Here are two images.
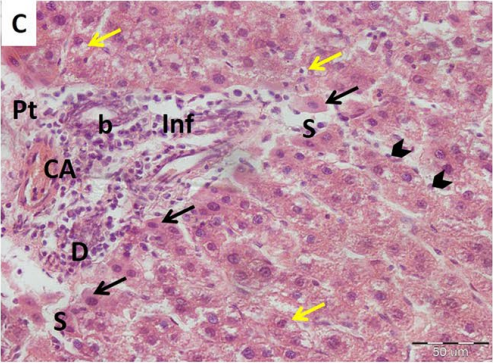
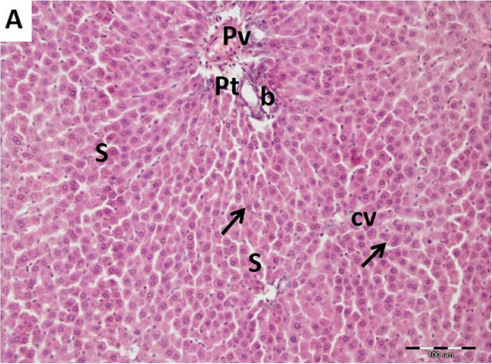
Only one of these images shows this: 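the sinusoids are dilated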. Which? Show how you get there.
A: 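The first image. Second image: the spaces between the radiating cell cords are narrow slits.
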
